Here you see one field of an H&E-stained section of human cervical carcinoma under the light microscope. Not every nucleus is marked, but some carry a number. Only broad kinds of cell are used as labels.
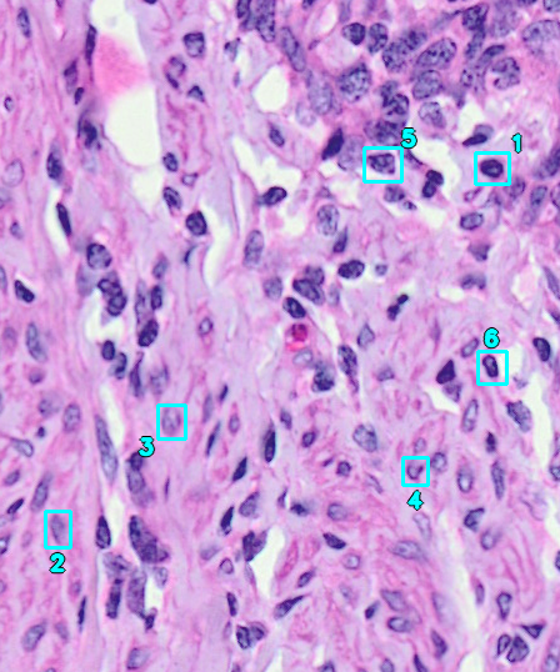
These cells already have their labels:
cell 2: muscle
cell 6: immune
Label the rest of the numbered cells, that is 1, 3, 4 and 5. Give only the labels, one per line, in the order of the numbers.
immune
muscle
muscle
immune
